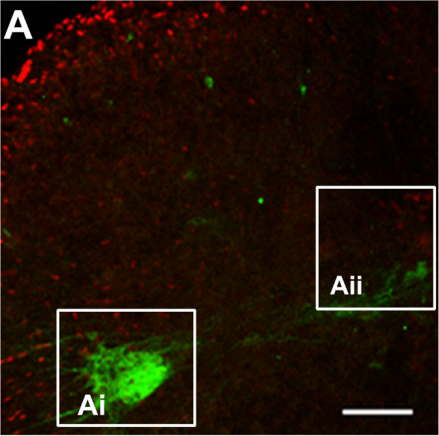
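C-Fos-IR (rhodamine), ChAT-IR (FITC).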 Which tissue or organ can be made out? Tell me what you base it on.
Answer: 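A rounded outer edge of a section with a dense rim of red puncta. That points to this answer: spinal cord.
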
